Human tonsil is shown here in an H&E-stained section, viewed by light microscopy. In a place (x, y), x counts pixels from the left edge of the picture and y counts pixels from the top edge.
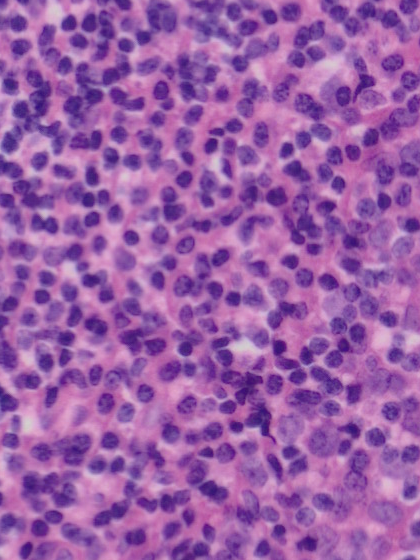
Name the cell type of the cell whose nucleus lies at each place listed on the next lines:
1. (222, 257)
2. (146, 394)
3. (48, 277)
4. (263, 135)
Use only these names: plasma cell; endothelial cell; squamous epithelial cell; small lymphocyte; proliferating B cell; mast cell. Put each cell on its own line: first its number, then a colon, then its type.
1: plasma cell
2: plasma cell
3: small lymphocyte
4: plasma cell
